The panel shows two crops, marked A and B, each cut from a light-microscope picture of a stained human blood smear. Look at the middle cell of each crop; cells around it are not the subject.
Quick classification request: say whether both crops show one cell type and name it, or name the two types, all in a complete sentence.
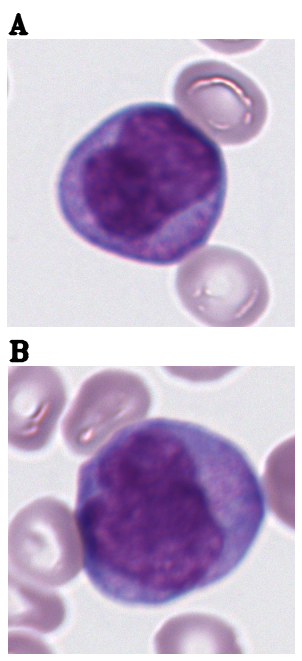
Yes, shown in both crops are atypical promyelocytes.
